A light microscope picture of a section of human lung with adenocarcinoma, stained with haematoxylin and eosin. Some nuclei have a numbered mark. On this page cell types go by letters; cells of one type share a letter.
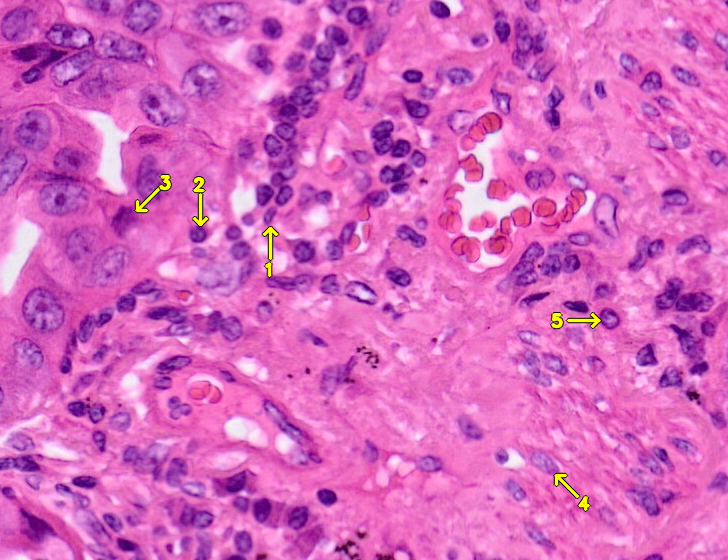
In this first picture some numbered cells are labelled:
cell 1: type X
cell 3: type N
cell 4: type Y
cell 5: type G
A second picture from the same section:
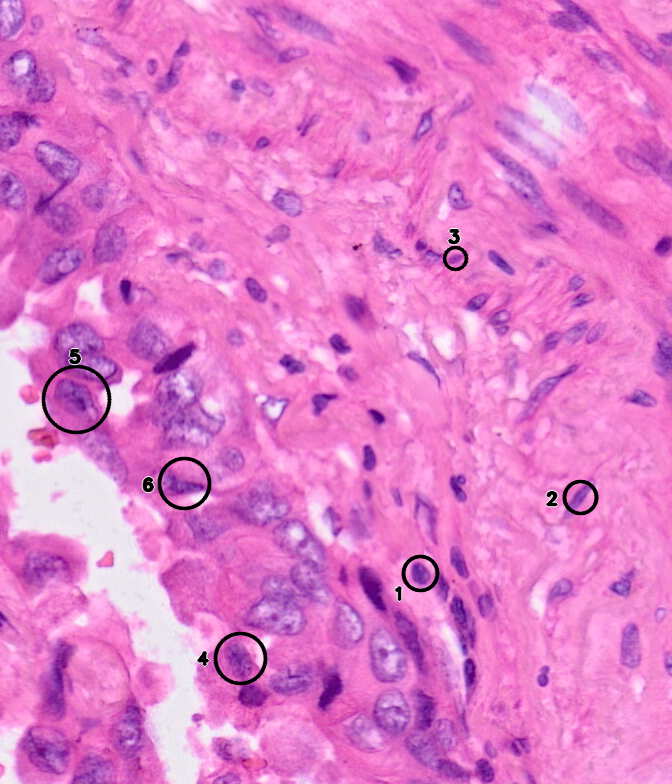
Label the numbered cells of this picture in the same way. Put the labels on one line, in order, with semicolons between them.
type X; type Y; type Y; type N; type N; type N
